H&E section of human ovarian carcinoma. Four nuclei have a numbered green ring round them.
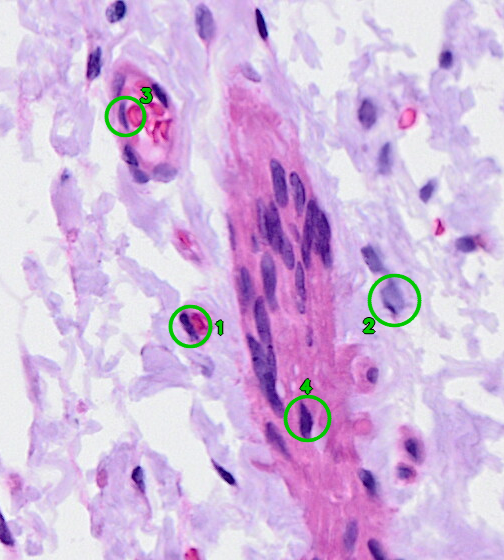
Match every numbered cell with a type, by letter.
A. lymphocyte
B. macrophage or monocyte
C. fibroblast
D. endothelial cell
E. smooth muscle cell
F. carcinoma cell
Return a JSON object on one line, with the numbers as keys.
{"1": "D", "2": "C", "3": "D", "4": "E"}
